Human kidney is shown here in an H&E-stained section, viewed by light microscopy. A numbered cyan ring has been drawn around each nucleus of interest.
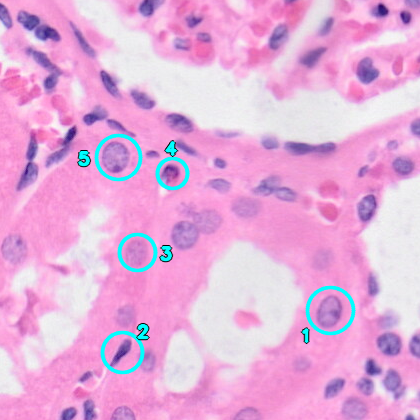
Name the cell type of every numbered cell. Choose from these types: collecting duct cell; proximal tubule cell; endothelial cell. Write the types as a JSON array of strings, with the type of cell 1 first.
["proximal tubule cell", "endothelial cell", "proximal tubule cell", "endothelial cell", "proximal tubule cell"]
